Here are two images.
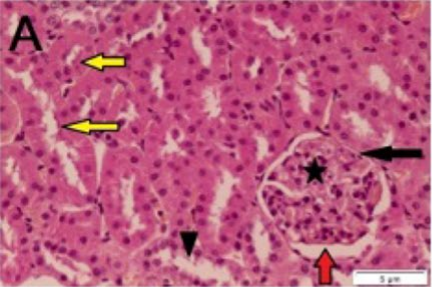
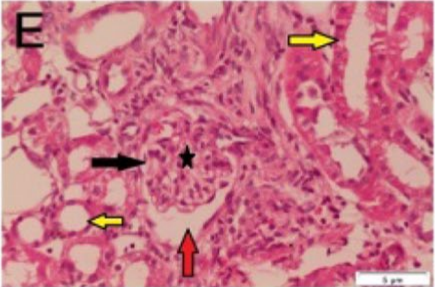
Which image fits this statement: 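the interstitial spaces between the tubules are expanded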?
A: The second image.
